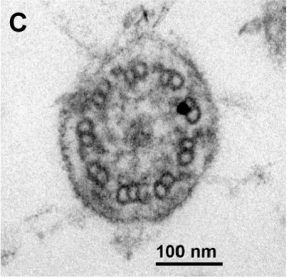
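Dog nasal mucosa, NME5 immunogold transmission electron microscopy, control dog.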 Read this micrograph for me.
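This is a cross section through a single cilium, seen as a round profile bounded by a membrane. Inside, a ring of paired microtubules surrounds a central region, the typical axoneme arrangement. A single dense black gold particle sits on one of the peripheral doublets near its inner side. Fine fuzzy material surrounds the outside of the membrane.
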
